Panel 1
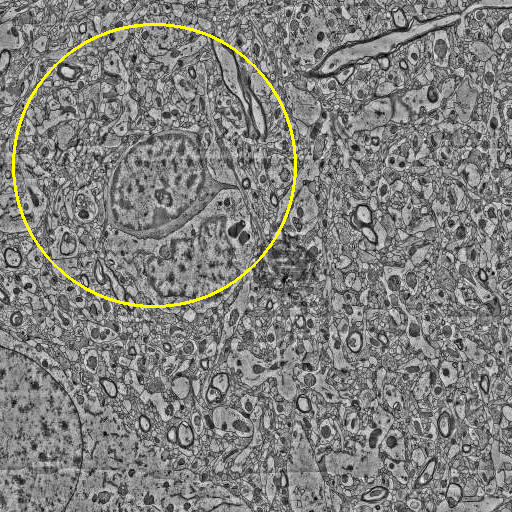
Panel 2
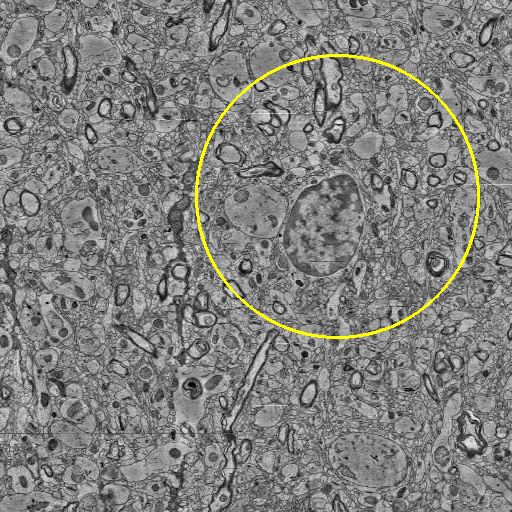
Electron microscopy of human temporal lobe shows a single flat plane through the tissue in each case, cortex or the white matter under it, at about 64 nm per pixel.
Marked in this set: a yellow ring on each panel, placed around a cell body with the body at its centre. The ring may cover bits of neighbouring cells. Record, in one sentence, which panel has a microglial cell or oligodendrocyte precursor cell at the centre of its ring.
Panel 2 has it at the centre of its ring.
